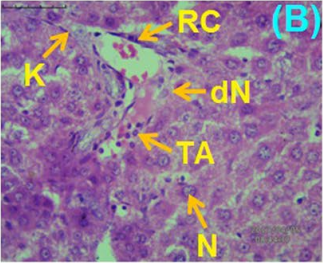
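Liver with disrupted architecture around a vessel containing red blood cells. Hepatocyte cords are broken up, some cells are irregular with darkened or faded nuclei, and crowded small dark nuclei cluster beside the vessel. Small dark elongated nuclei lie along the vessel wall and sinusoids.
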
